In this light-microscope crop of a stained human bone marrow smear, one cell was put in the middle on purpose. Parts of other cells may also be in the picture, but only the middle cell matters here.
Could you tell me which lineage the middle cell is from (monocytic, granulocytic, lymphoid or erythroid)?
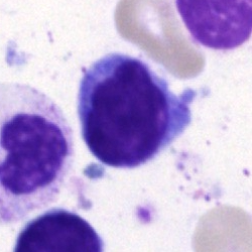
lymphoid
